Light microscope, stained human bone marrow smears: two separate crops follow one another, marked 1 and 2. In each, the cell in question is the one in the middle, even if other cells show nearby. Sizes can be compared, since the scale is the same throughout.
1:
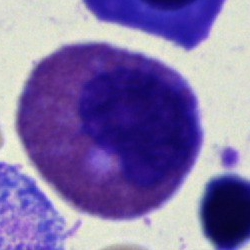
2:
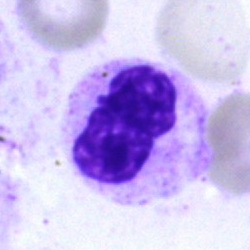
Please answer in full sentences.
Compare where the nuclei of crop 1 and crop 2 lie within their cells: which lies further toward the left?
The nucleus in crop 2 lies further toward the left of its cell.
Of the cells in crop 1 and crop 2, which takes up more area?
The cell in crop 1 is larger, with about 1.5 times the area of the one in crop 2.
